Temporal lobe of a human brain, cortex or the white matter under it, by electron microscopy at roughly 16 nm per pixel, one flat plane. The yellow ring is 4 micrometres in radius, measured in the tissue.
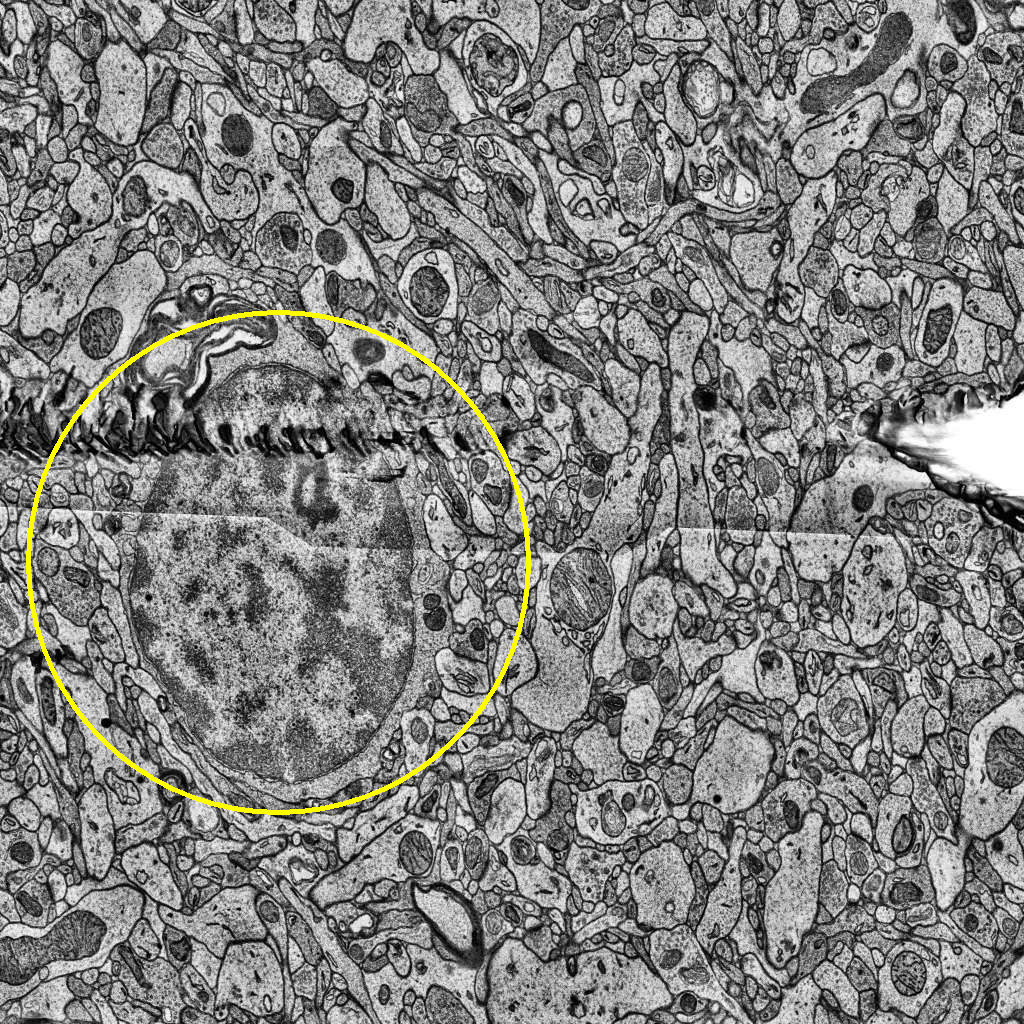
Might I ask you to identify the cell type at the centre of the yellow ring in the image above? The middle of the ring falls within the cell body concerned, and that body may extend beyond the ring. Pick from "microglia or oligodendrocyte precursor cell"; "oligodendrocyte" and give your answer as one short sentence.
The centre of the ring falls on an oligodendrocyte.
